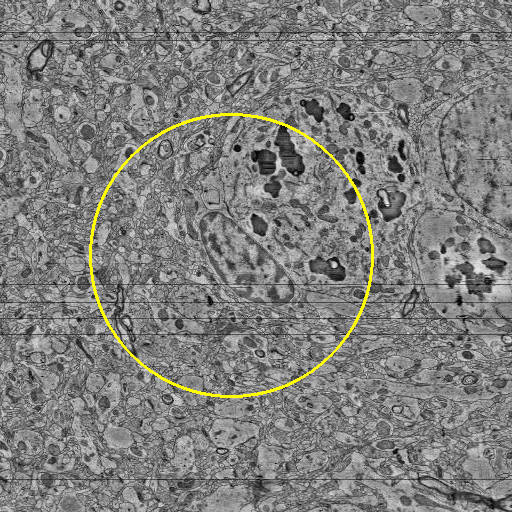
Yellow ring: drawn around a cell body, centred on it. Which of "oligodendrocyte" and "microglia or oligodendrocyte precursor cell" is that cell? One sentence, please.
That cell body is from a microglial cell or oligodendrocyte precursor cell.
